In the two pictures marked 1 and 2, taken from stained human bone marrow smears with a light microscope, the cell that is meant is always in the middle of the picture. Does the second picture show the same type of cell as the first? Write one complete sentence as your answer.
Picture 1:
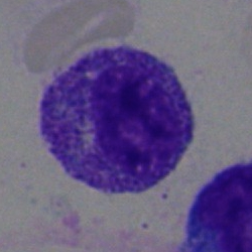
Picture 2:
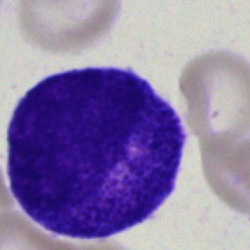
No, the types are not the same, since picture 1 shows a myelocyte and picture 2 a promyelocyte.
